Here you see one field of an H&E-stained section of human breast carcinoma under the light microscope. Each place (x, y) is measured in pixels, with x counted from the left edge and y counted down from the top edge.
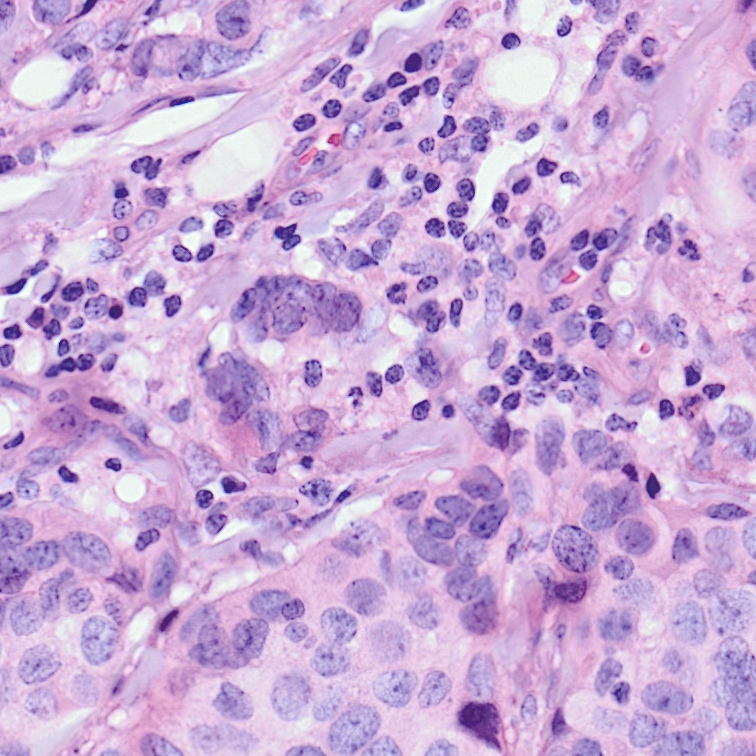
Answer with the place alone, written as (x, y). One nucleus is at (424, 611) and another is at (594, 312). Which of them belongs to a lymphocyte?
(594, 312)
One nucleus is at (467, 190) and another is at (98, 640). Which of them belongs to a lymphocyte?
(467, 190)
